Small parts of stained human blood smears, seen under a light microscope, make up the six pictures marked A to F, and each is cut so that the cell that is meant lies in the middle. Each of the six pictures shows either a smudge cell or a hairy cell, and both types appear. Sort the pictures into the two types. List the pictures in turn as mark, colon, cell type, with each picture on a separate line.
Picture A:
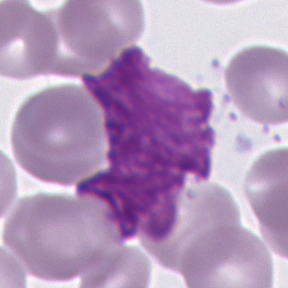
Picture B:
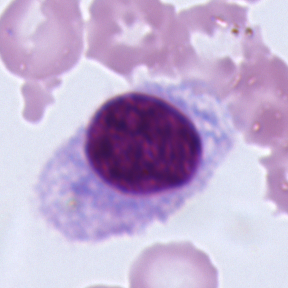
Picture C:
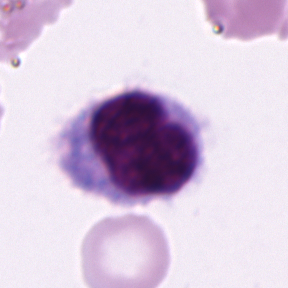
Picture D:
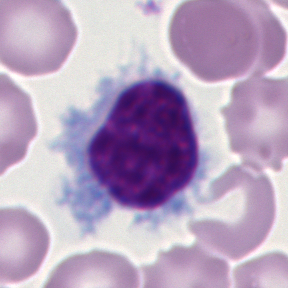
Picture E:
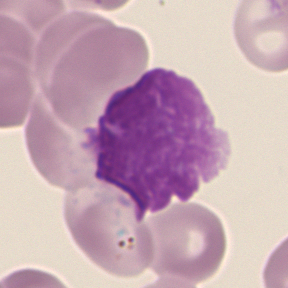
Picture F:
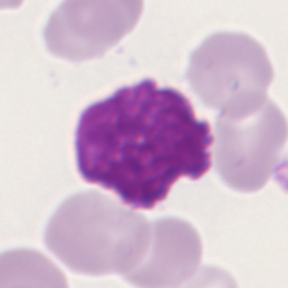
A: smudge cell
B: hairy cell
C: hairy cell
D: hairy cell
E: smudge cell
F: smudge cell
